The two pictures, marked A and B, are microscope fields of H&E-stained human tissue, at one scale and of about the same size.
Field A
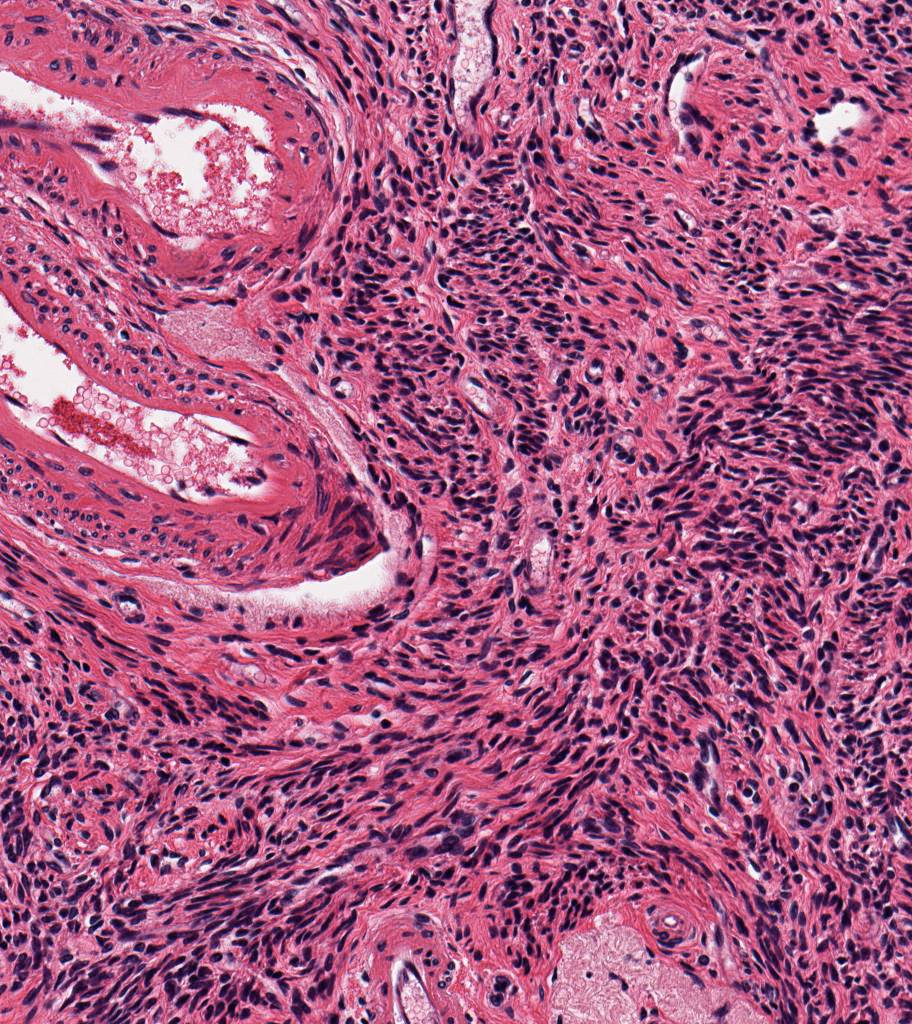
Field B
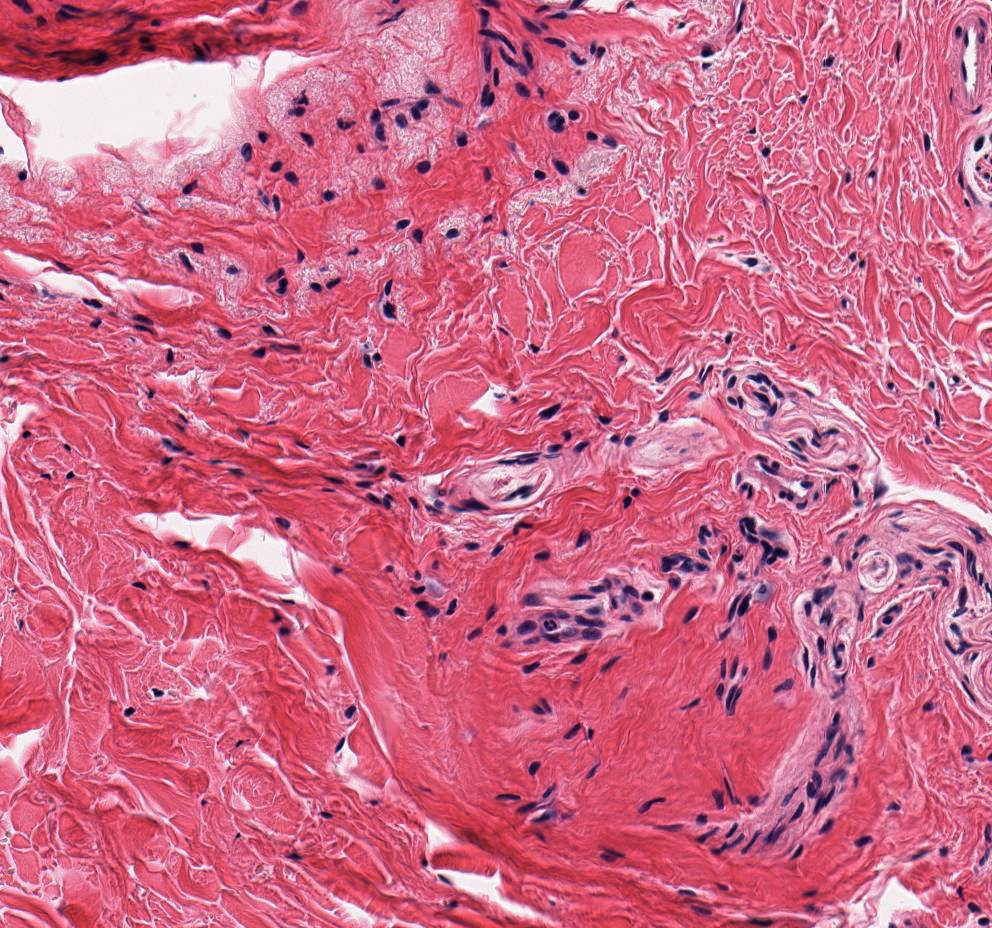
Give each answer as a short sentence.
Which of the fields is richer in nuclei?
Field A holds more nuclei than field B.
